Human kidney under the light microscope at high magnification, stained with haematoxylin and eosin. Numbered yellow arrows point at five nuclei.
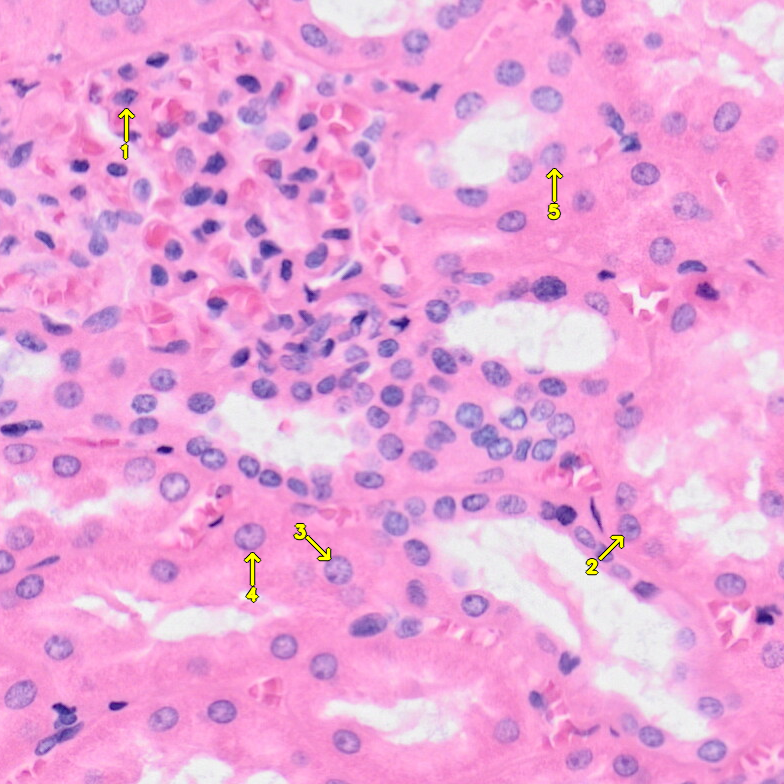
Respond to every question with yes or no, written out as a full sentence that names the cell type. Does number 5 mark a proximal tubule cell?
No, cell 5 is not to be taken for a proximal tubule cell; it is a loop of Henle or distal tubule cell.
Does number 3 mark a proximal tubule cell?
Yes, the marked cell with number 3 is a proximal tubule cell.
